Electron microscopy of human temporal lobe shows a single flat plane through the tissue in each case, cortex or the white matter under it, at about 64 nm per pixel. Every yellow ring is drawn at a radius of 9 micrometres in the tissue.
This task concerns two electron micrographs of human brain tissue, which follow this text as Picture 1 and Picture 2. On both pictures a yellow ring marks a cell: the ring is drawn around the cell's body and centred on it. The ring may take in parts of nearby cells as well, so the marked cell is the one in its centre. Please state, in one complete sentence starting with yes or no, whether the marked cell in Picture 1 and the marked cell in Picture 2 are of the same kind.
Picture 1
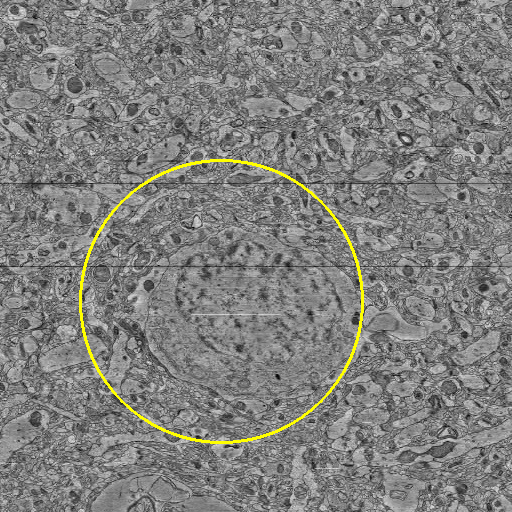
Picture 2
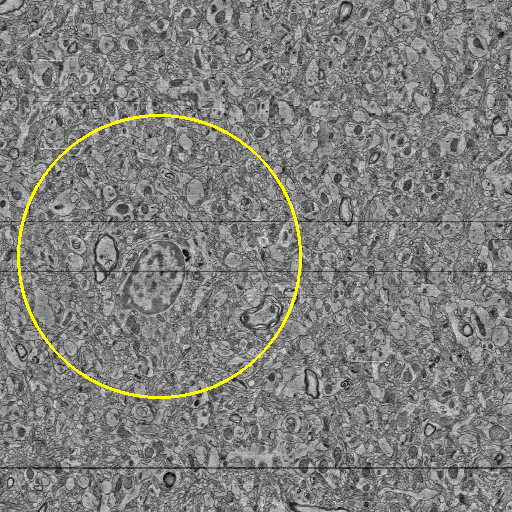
No, the marked cells in the two pictures are of two kinds.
